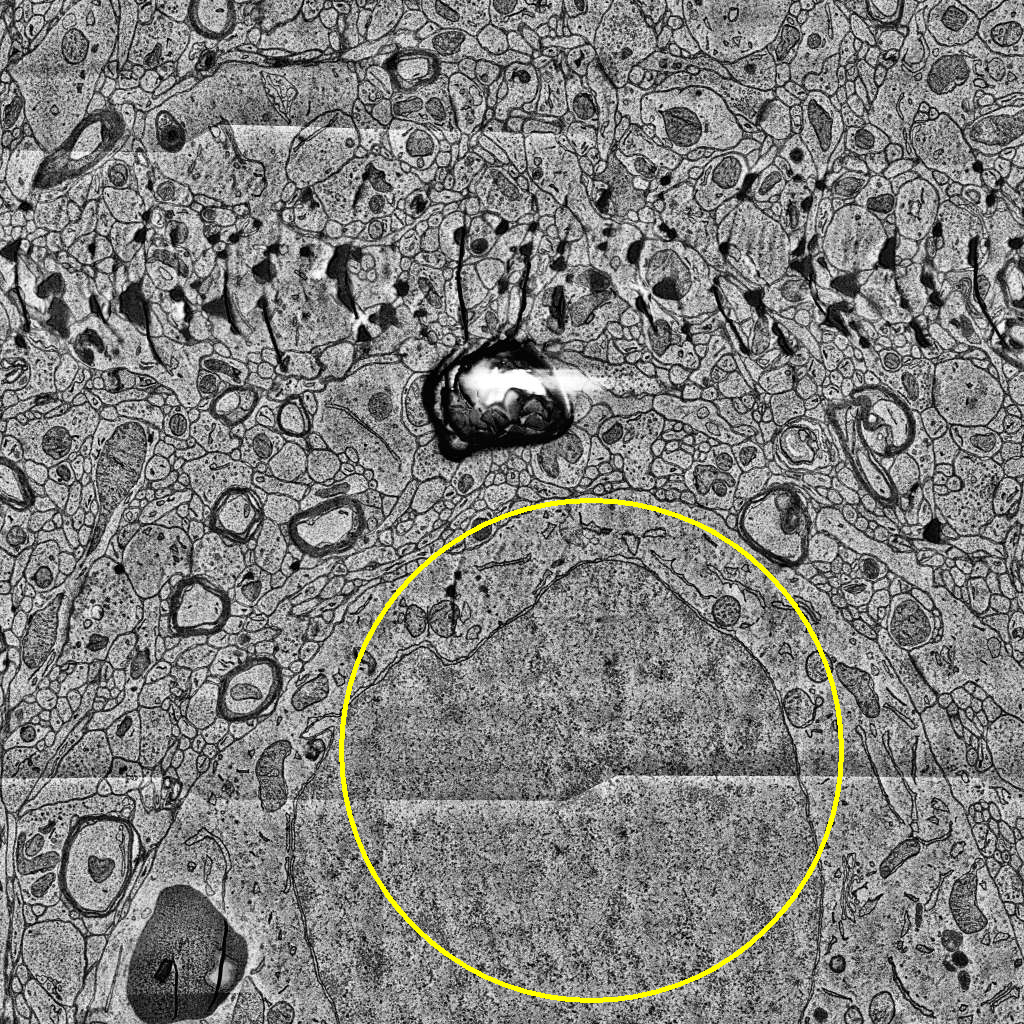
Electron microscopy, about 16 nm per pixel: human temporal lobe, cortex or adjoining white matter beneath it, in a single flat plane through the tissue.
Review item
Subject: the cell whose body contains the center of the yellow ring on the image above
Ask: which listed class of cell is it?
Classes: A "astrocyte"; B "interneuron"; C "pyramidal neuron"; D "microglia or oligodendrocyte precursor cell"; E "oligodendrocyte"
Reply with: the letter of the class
B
